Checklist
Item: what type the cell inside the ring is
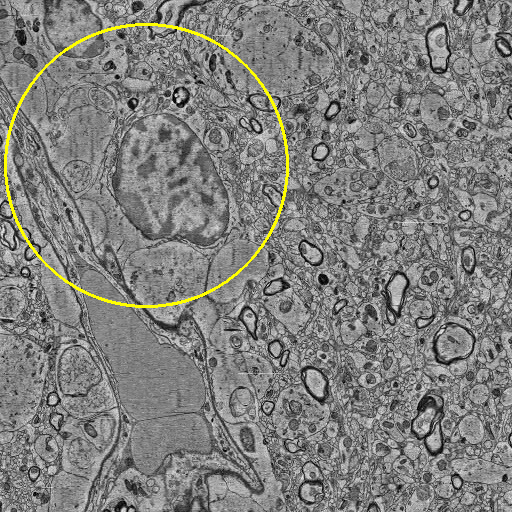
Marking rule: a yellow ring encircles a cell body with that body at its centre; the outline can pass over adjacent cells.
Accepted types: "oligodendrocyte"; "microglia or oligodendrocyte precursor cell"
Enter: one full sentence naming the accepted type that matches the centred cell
The entry is that a microglial cell or oligodendrocyte precursor cell lies at the centre of the yellow ring.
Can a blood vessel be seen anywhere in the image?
Yes, one shows.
